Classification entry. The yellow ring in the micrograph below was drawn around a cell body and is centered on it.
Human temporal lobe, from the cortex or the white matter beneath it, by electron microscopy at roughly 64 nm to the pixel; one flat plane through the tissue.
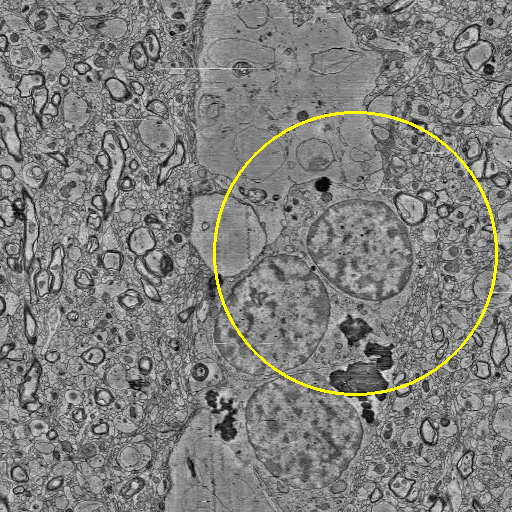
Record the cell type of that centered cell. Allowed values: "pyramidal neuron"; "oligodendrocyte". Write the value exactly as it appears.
oligodendrocyte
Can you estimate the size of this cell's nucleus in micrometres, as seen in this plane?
In this plane, roughly 7 micrometres across.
